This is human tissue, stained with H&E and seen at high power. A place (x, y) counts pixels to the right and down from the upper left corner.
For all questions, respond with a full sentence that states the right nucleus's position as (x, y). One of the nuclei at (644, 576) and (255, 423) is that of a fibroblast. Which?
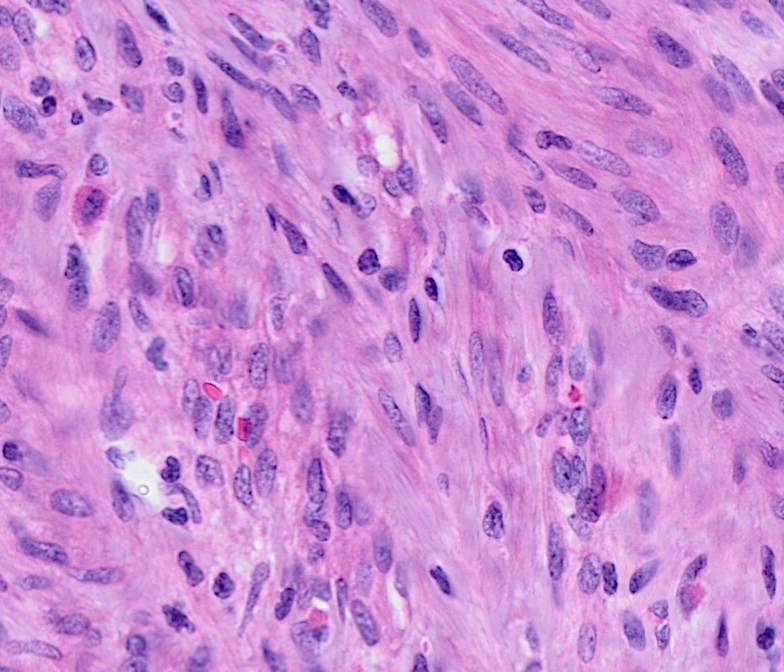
Of the pair, the nucleus positioned at (644, 576) is that of a fibroblast.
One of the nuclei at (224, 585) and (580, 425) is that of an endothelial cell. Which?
The correct choice is the nucleus at (580, 425), which belongs to an endothelial cell.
